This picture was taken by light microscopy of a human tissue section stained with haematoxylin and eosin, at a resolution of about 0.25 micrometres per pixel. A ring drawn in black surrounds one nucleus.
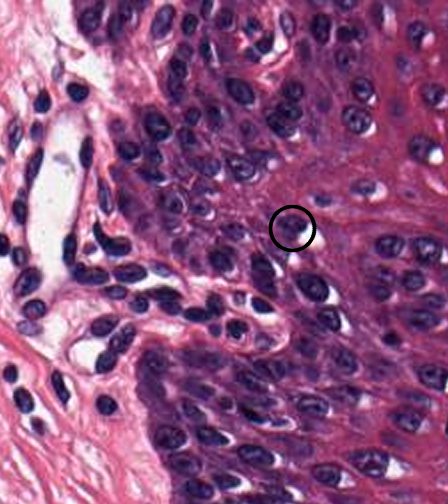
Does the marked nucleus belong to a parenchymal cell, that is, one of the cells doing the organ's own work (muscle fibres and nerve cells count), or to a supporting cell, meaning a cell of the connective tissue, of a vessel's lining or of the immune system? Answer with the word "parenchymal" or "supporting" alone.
parenchymal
